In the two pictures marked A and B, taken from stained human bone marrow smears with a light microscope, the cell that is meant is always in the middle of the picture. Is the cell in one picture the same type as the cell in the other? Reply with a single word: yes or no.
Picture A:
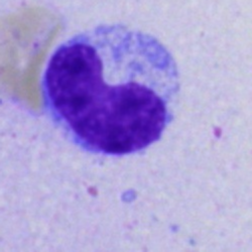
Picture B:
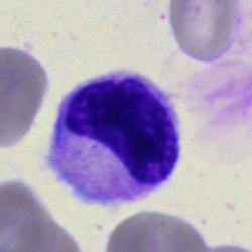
yes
